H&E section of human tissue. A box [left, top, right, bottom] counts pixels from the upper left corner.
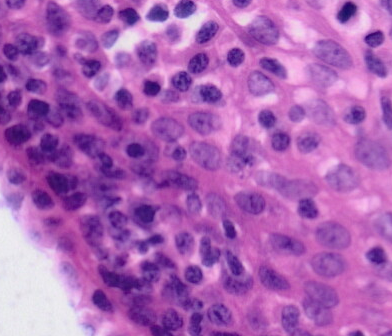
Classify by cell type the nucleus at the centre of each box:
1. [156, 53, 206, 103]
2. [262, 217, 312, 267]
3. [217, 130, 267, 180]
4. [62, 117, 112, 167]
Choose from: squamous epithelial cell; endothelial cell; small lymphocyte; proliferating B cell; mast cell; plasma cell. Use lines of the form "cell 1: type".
cell 1: plasma cell
cell 2: squamous epithelial cell
cell 3: squamous epithelial cell
cell 4: squamous epithelial cell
